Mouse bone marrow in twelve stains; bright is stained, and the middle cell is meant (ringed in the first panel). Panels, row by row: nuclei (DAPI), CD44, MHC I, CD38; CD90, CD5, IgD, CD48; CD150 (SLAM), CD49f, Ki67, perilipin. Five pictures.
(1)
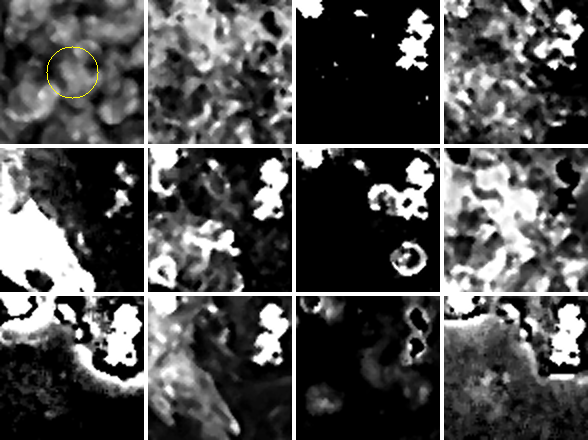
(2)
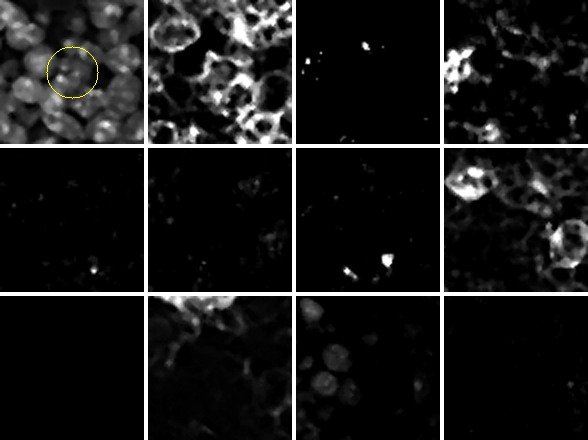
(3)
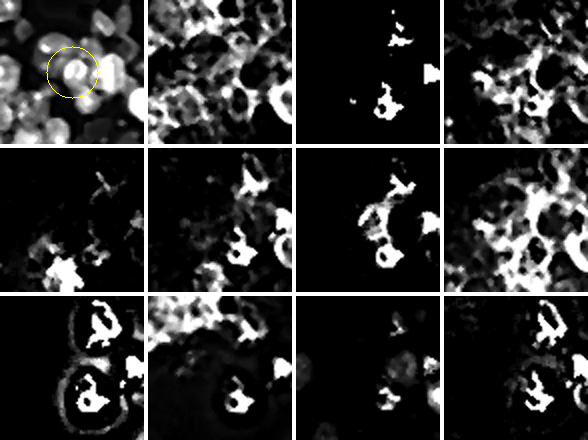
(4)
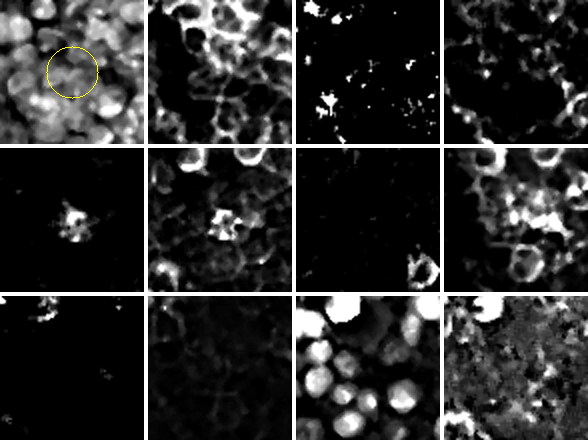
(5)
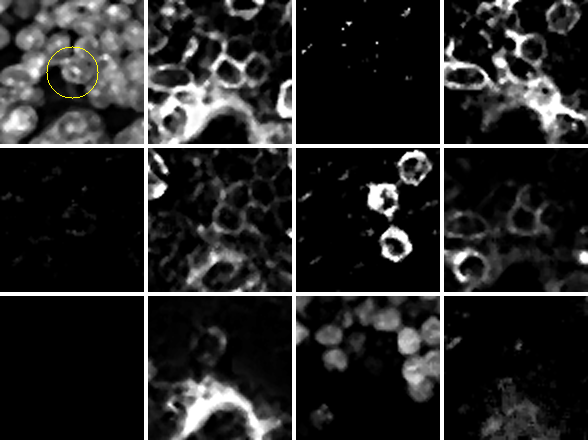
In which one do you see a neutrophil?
In picture 2.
